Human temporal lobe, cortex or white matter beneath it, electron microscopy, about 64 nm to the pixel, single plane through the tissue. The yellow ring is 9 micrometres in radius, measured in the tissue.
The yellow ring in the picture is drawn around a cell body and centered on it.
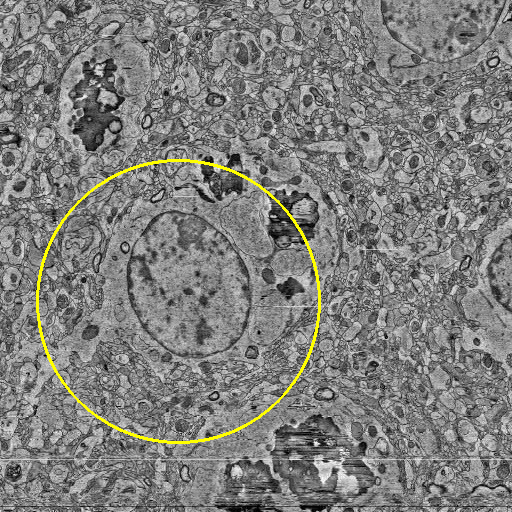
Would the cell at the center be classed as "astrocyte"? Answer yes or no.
Yes, it belongs to that class.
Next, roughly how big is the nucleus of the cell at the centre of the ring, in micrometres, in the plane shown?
In this plane the nucleus measures roughly 10 by 8 micrometres.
